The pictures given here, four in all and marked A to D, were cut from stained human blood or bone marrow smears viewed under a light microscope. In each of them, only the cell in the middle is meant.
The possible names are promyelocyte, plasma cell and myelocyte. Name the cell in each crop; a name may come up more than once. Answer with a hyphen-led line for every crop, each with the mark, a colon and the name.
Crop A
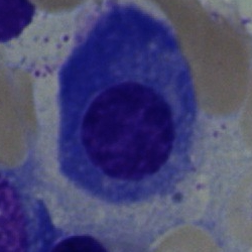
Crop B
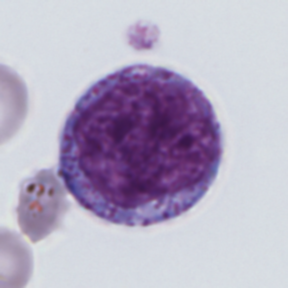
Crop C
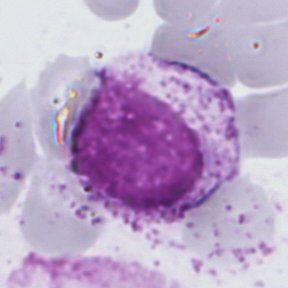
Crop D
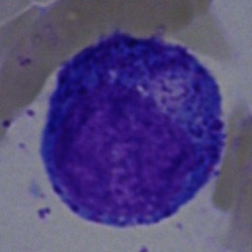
- A: plasma cell
- B: promyelocyte
- C: myelocyte
- D: promyelocyte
